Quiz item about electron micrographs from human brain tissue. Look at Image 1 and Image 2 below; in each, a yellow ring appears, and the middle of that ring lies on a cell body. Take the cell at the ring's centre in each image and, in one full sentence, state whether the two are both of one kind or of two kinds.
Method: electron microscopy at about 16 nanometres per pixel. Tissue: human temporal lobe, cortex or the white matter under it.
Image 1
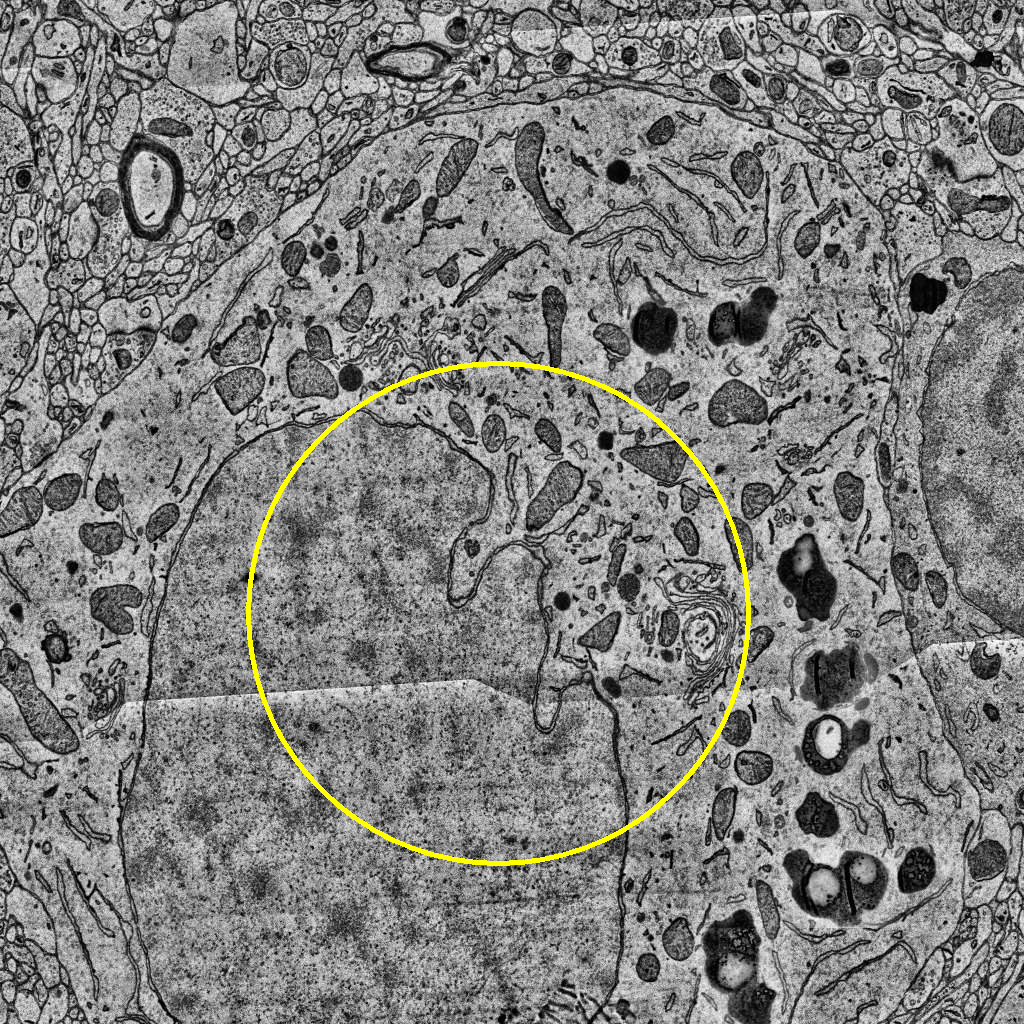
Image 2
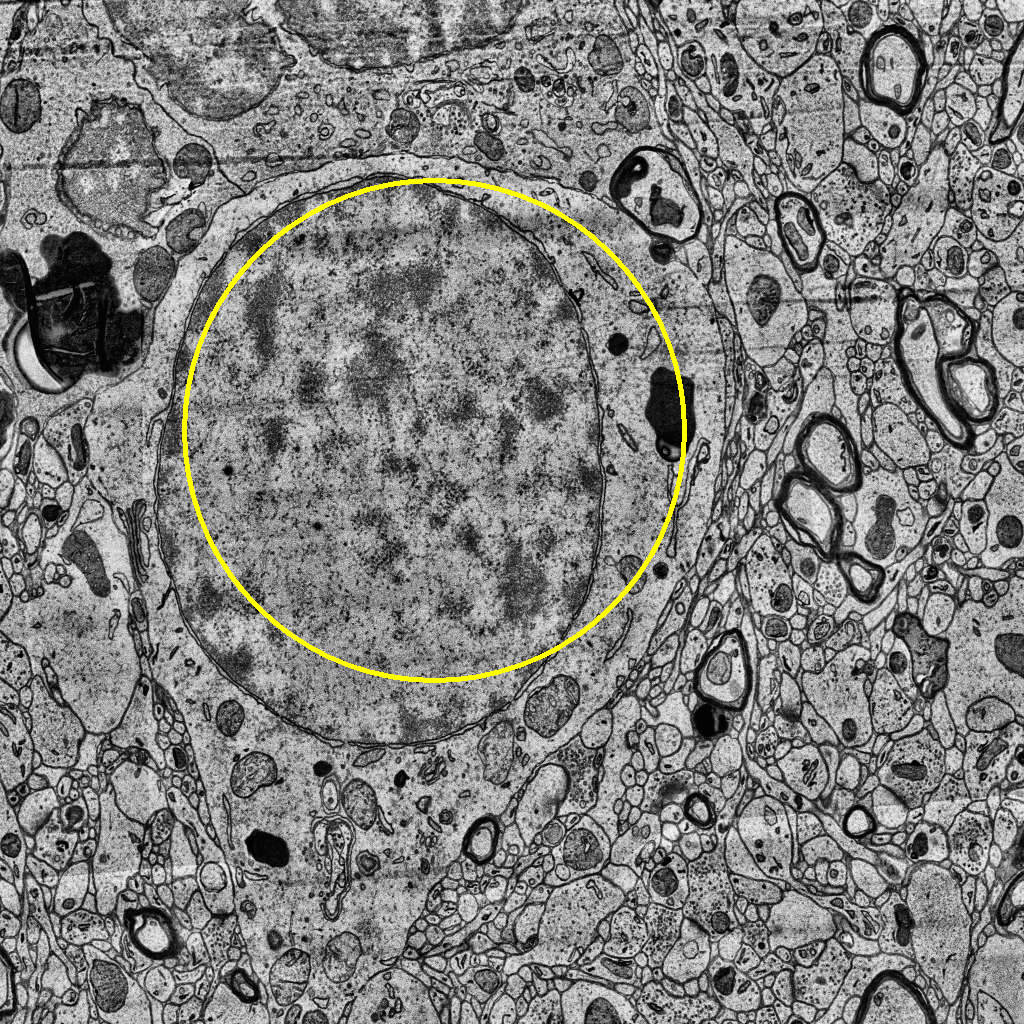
In Image 1 and Image 2, the cells at the ring centres are both of one kind.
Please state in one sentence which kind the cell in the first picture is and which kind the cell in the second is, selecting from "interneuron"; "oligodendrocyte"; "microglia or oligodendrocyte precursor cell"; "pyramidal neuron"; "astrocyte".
Both pictures show an interneuron at the centre of the ring.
